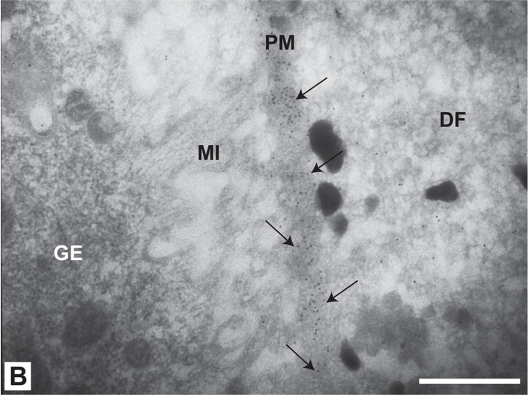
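Higher-magnification transmission electron micrograph of the gut lining, with granular epithelial cytoplasm on the left and a fringe of microvilli extending toward the lumen. Beyond the microvilli runs a thin band of peritrophic matrix, along which many fine black gold particles are scattered. Digested food with scattered dense dark bodies fills the lumen on the right.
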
